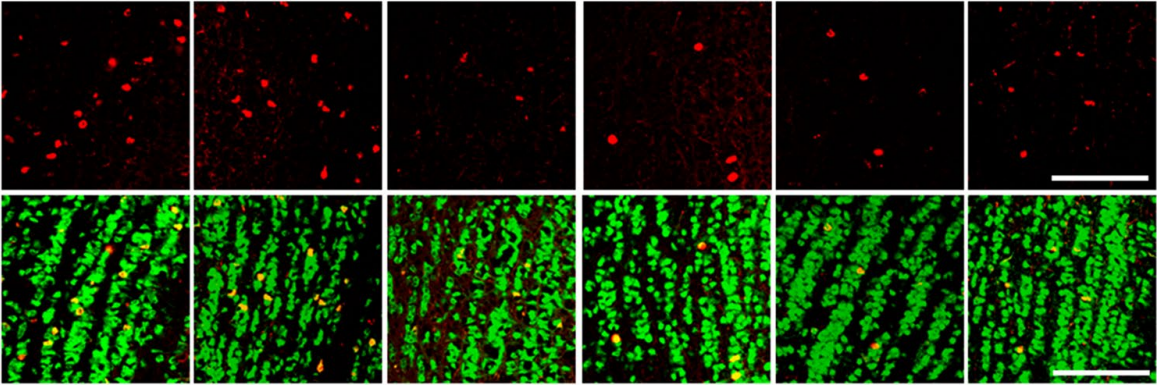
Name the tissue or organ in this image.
Granule cell layer.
